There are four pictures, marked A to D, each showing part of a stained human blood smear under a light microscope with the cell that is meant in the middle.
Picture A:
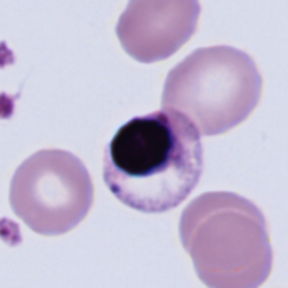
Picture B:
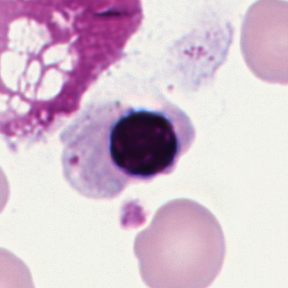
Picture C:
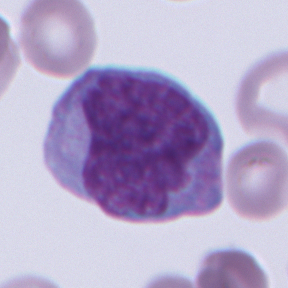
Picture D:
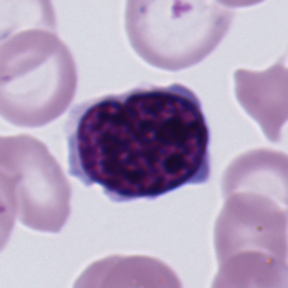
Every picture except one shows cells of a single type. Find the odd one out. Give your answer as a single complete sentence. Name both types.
The different one is picture C; it shows an atypical promyelocyte, whereas all the others show normoblasts.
